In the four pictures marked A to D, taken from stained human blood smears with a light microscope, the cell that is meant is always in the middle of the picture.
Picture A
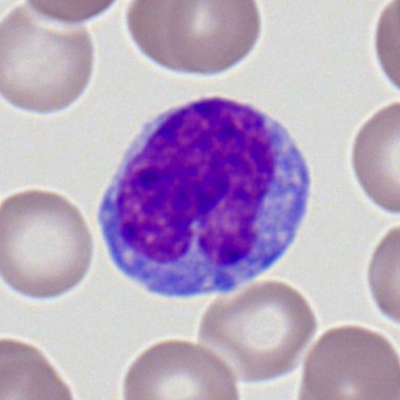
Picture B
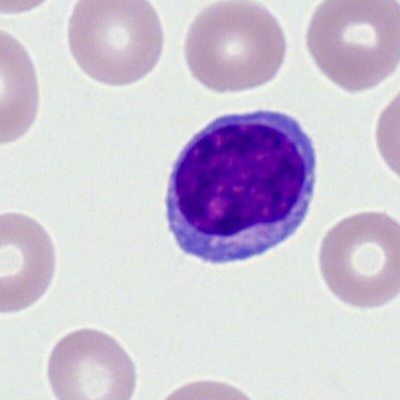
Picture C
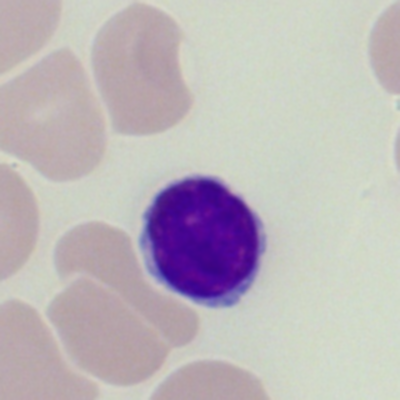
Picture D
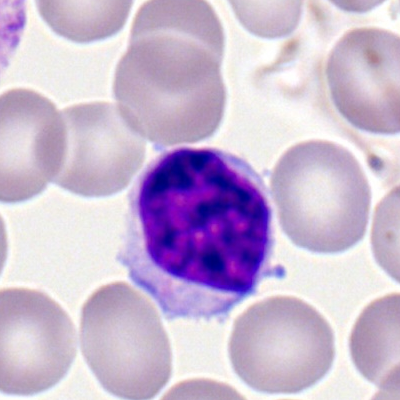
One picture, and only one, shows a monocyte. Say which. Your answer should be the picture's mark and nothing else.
A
